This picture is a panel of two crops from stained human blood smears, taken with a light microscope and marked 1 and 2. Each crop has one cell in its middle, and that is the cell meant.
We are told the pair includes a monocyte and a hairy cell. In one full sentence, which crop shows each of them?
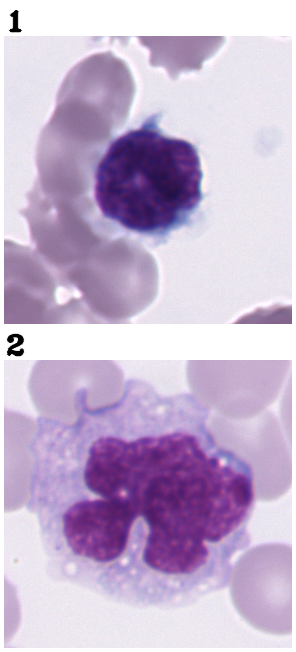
The cell in crop 1 is a hairy cell; the cell in crop 2 is a monocyte.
